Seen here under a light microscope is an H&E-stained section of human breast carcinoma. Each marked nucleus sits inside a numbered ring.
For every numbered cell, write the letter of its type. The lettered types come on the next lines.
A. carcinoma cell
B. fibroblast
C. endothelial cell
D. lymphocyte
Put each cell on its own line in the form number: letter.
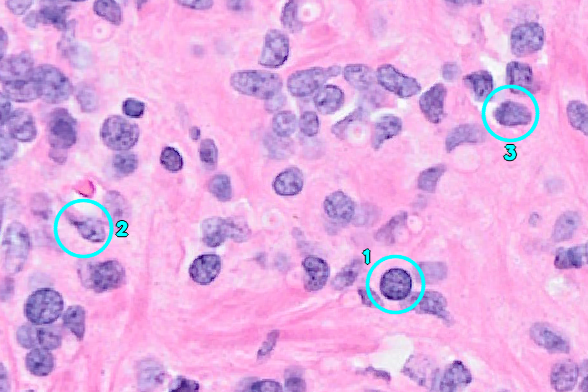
1: A
2: C
3: A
